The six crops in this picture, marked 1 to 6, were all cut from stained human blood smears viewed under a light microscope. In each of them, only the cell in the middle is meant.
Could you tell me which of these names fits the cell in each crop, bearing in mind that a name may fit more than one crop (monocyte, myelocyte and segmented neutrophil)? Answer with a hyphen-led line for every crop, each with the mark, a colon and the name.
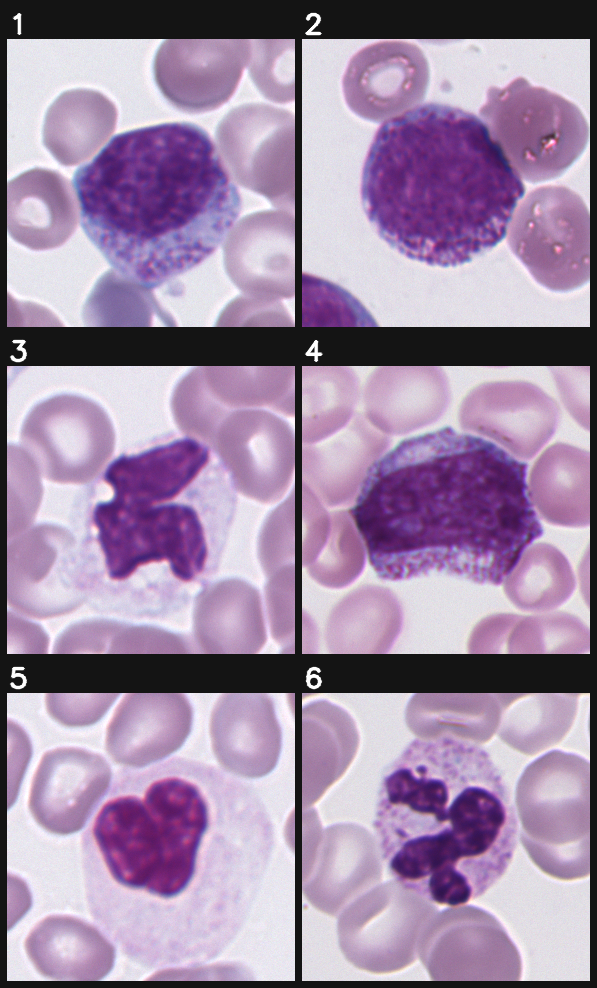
- 1: myelocyte
- 2: myelocyte
- 3: segmented neutrophil
- 4: myelocyte
- 5: segmented neutrophil
- 6: segmented neutrophil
